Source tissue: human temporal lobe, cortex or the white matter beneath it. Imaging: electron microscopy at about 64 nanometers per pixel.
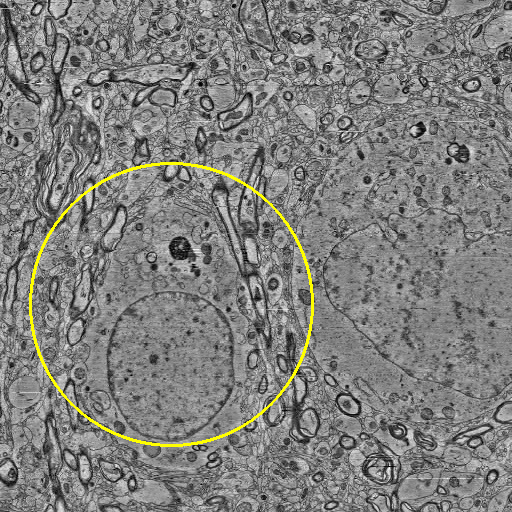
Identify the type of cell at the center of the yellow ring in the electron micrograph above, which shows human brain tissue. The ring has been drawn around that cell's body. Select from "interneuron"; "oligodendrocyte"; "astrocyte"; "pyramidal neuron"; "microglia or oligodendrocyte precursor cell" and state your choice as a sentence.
The yellow ring is centered on the body of an astrocyte.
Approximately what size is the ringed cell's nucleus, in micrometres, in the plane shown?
About 10 by 8 micrometres in this plane.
